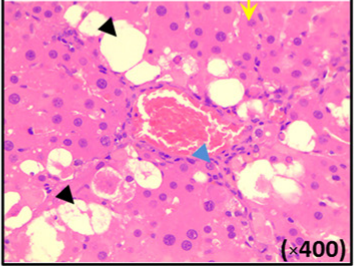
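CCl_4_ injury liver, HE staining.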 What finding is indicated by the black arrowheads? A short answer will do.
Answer: Vacuolated cells.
